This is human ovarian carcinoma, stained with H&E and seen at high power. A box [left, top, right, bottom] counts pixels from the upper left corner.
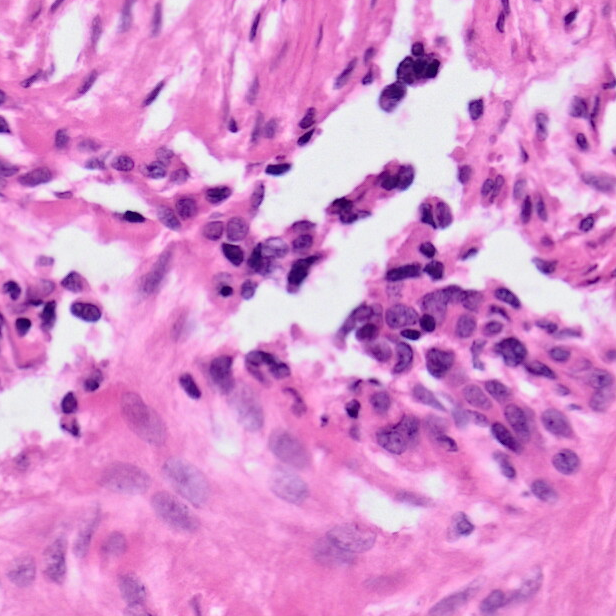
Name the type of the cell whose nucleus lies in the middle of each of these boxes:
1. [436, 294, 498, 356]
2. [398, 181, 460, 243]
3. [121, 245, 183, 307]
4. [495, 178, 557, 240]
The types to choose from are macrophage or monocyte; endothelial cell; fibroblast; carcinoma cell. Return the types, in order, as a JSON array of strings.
["carcinoma cell", "macrophage or monocyte", "fibroblast", "fibroblast"]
